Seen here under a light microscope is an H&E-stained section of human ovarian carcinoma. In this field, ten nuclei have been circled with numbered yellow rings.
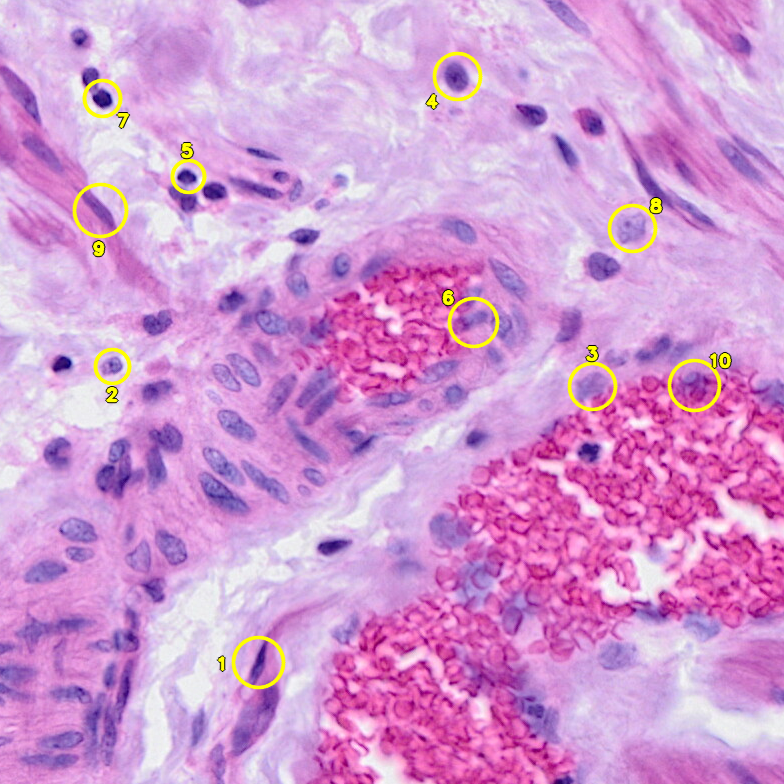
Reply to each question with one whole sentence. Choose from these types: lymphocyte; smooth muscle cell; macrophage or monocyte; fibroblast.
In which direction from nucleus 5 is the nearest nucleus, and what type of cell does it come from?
The nearest one is a macrophage or monocyte, found below and to the left of nucleus 5.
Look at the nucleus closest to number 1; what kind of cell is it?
The nucleus nearest to number 1 is that of a smooth muscle cell.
